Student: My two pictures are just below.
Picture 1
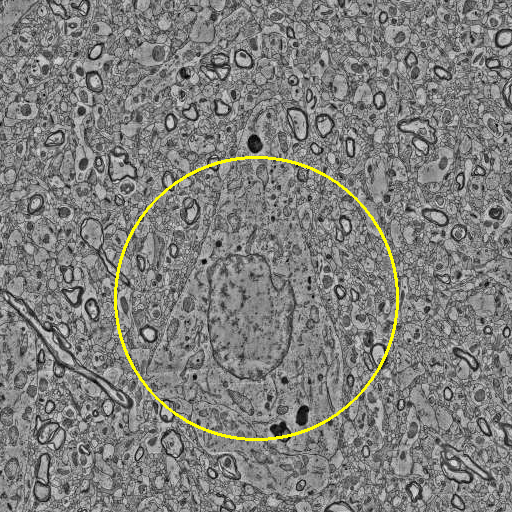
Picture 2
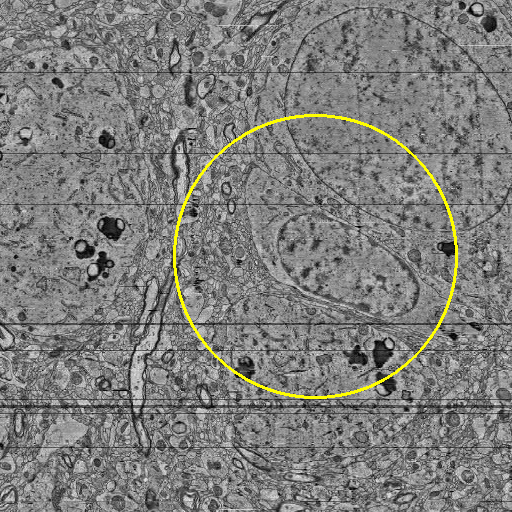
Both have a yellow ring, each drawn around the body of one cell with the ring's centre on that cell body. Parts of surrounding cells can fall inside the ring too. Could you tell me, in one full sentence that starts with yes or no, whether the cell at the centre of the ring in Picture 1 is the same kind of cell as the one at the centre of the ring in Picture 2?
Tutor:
No, the two cells are of two kinds.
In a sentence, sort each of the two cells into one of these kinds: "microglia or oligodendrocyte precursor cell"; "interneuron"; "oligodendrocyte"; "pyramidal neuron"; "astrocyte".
The first of the two cells is a pyramidal neuron, and the second is a microglial cell or oligodendrocyte precursor cell.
